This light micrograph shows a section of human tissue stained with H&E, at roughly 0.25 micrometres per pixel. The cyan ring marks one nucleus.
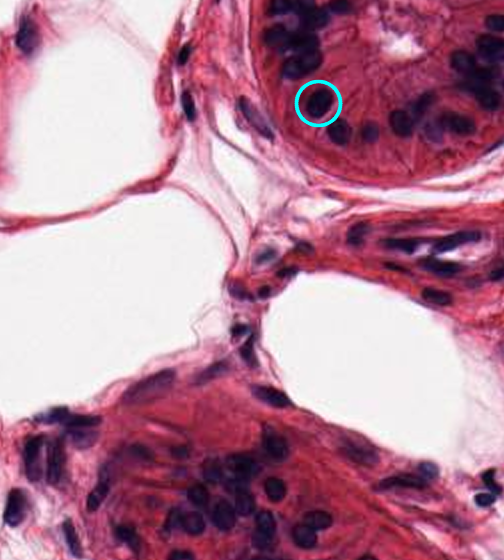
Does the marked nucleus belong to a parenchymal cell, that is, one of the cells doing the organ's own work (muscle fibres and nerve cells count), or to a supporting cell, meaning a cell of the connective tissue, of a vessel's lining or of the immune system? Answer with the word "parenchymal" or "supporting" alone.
parenchymal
